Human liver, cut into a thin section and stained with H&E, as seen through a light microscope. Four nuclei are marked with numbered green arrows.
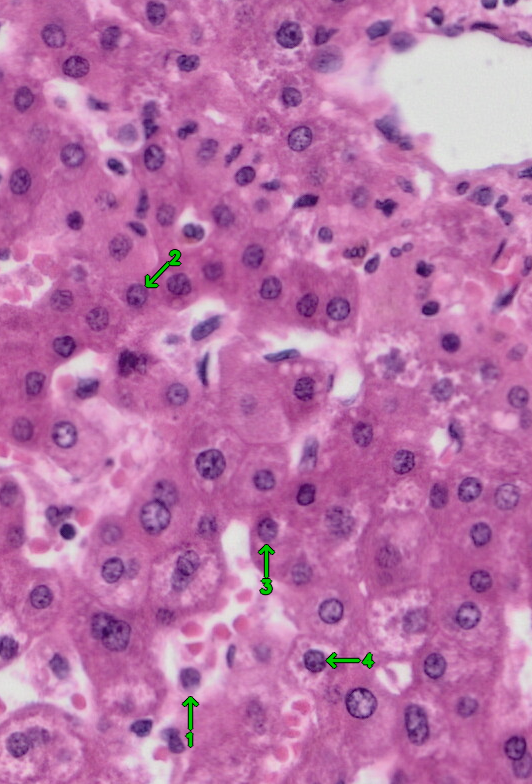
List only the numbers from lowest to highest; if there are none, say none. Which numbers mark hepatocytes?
2, 3, 4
